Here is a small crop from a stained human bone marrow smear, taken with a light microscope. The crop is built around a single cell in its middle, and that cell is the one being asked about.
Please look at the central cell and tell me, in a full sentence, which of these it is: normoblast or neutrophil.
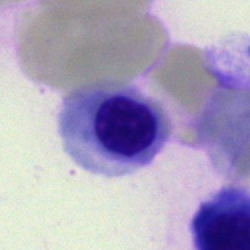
The cell that lies at the centre of the crop is a normoblast.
